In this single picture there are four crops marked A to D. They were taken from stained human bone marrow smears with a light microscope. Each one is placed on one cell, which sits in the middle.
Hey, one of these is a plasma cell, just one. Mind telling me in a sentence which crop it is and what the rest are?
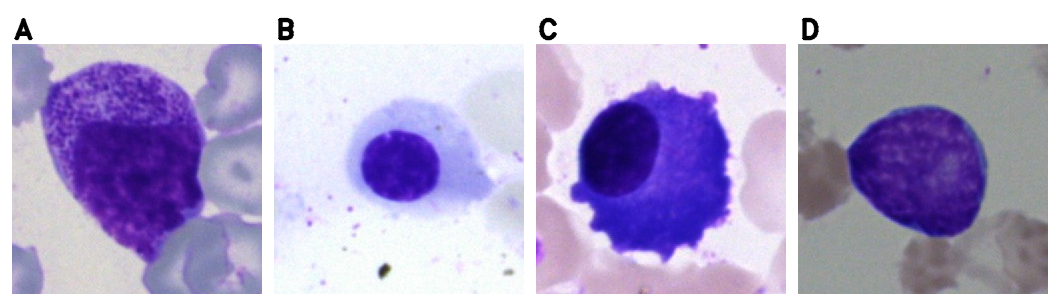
Crop C is a plasma cell; as for the rest, crop A is a myelocyte, crop B is a normoblast and crop D is a blast.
